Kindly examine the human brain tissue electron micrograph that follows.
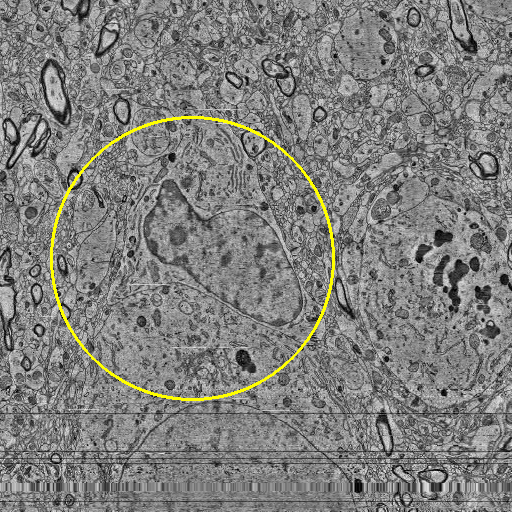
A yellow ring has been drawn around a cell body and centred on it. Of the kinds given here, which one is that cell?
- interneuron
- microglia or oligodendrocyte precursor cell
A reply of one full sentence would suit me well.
The micrograph's ringed cell, the one at the ring's centre, is a microglial cell or oligodendrocyte precursor cell.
